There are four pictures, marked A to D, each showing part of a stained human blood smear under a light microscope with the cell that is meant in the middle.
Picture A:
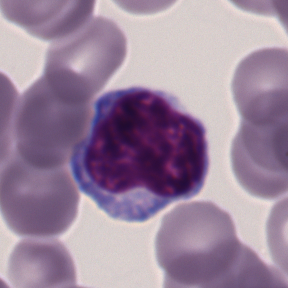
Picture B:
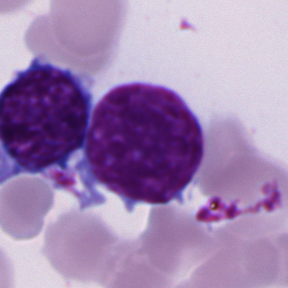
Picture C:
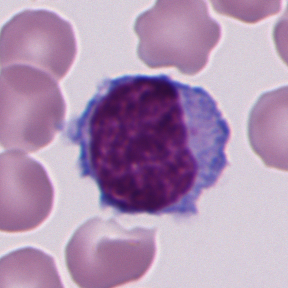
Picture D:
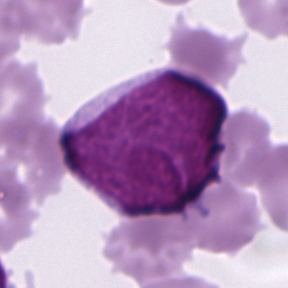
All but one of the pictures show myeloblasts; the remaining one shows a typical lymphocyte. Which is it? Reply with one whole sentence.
It is picture A that shows the typical lymphocyte.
